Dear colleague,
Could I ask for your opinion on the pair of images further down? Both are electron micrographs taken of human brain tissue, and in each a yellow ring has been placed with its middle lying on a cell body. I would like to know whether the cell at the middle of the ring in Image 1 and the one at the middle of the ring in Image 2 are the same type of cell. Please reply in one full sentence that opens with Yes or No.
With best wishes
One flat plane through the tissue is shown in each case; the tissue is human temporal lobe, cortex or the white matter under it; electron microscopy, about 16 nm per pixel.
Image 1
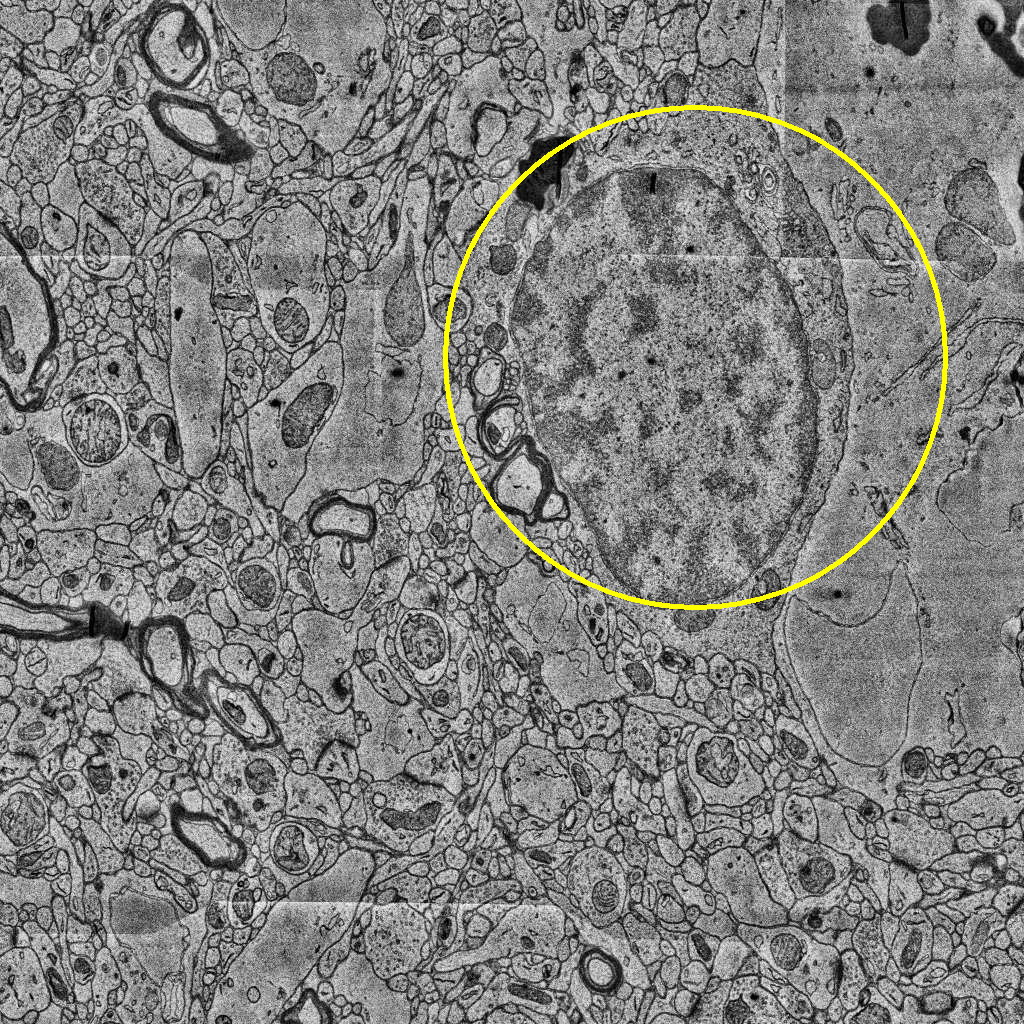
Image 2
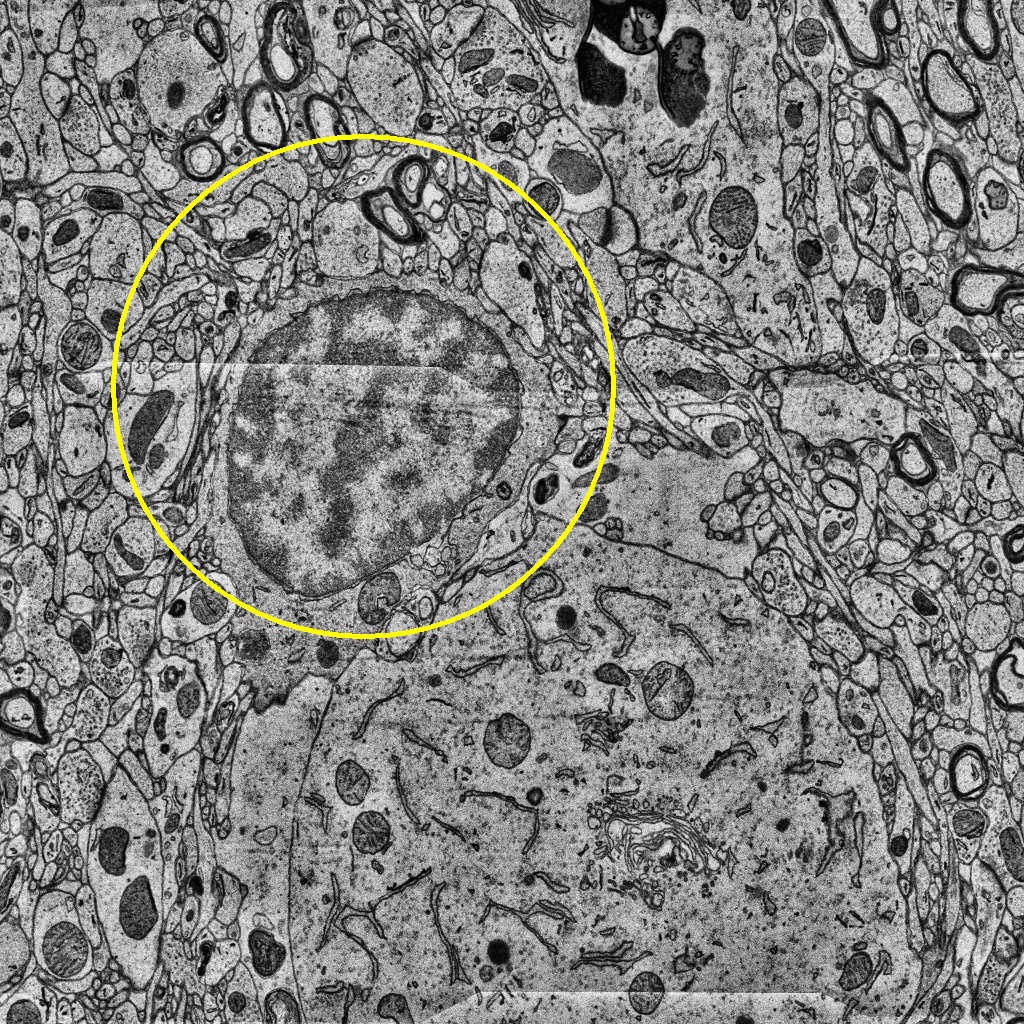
Yes, the cells at the ring centres in Image 1 and Image 2 are of one type.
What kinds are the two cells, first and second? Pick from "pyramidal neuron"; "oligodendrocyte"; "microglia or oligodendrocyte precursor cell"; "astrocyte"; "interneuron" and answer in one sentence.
Each of the two pictures has an oligodendrocyte at the ring centre.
